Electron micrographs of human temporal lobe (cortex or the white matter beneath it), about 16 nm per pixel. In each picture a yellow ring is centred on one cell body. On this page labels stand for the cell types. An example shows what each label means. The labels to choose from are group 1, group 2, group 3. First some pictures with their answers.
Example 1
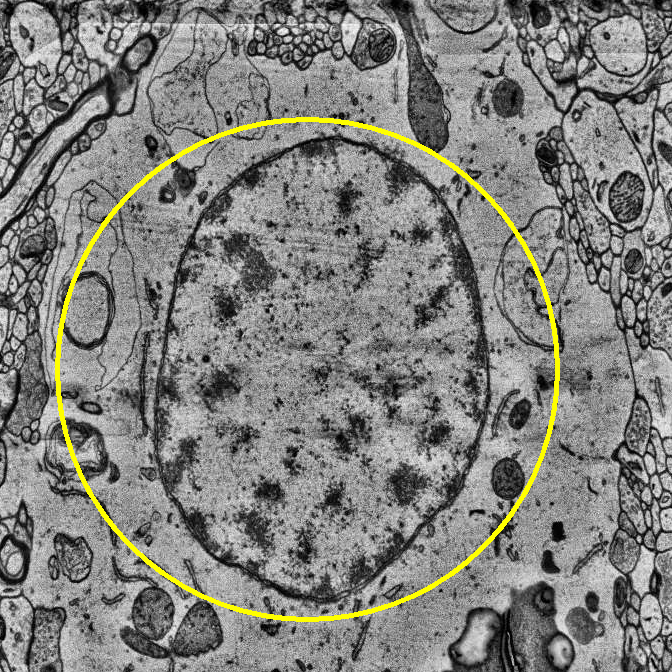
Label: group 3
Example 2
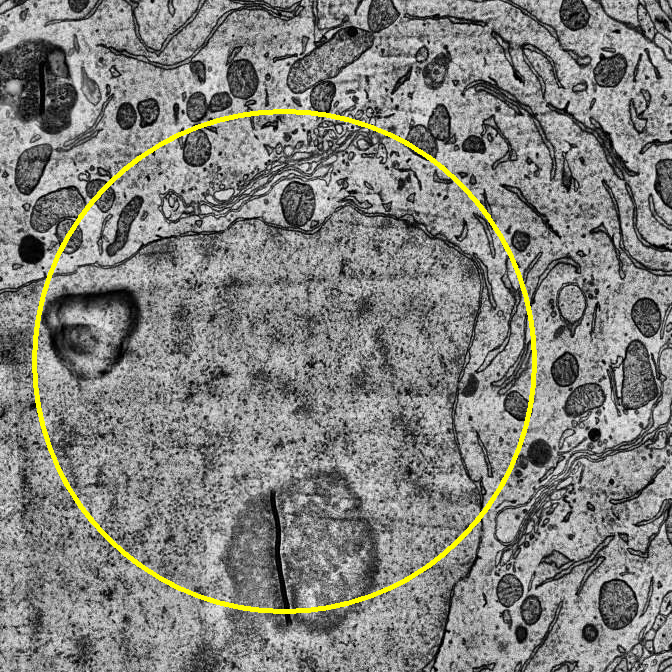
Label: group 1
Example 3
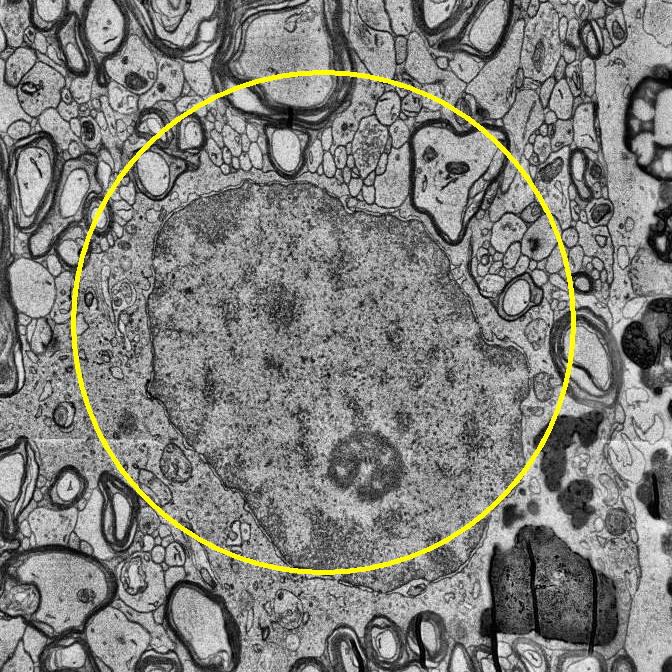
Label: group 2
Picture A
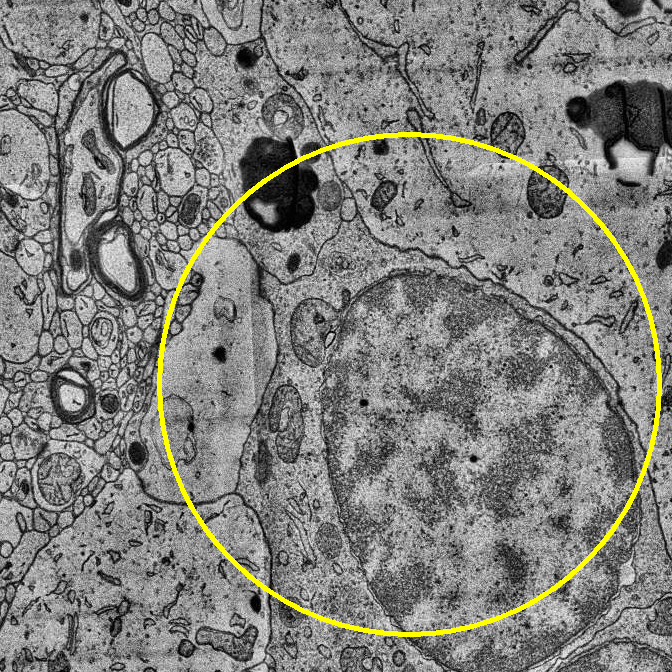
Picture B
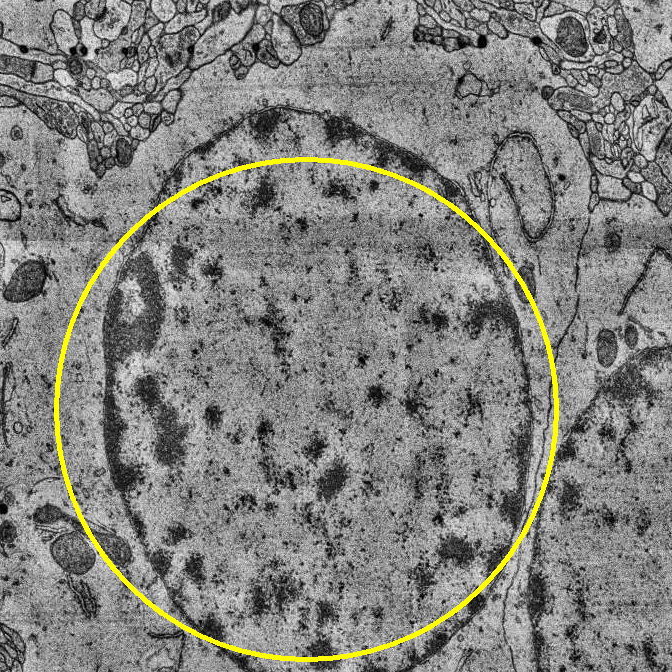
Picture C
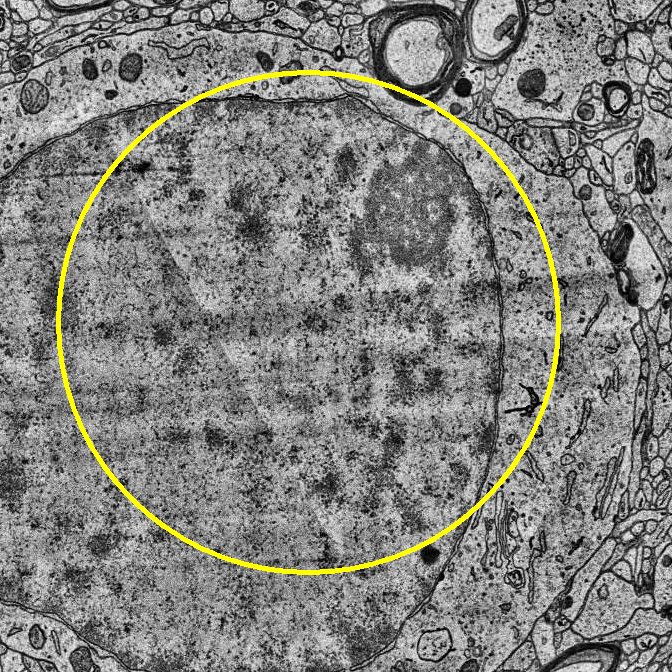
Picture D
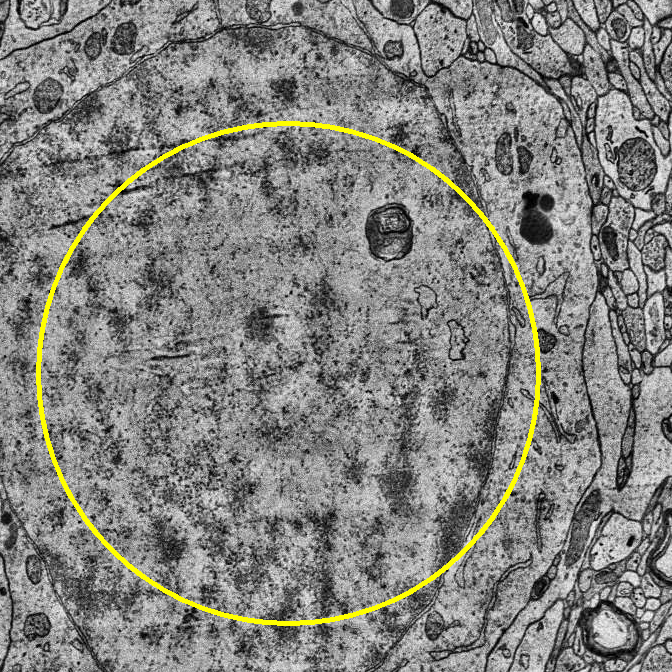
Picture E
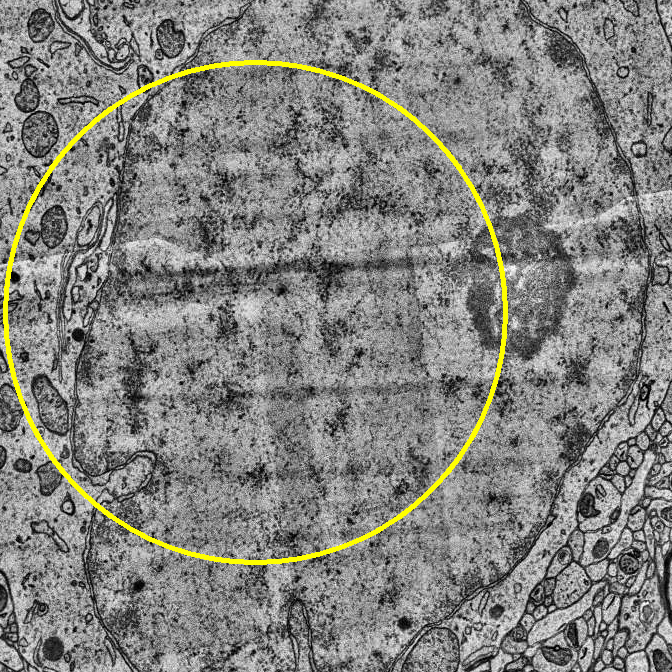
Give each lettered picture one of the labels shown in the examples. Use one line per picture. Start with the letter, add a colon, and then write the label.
A: group 2
B: group 3
C: group 1
D: group 1
E: group 1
